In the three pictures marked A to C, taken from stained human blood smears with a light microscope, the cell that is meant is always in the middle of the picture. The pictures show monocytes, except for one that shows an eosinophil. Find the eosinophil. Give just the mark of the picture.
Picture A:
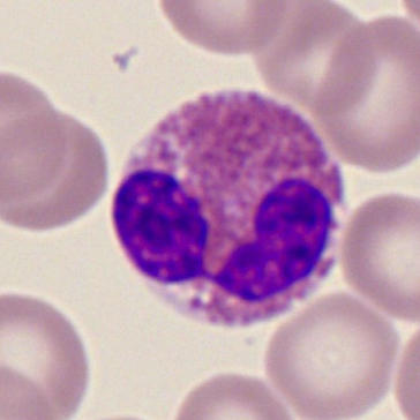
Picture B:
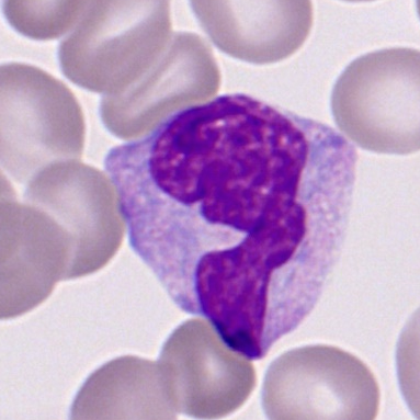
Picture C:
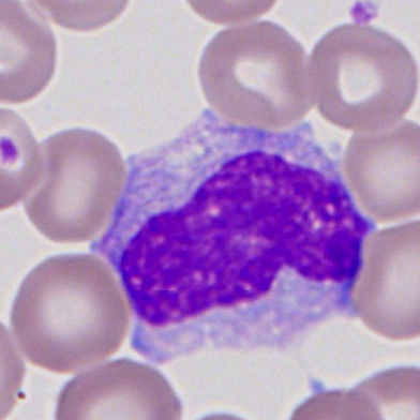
A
